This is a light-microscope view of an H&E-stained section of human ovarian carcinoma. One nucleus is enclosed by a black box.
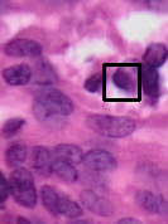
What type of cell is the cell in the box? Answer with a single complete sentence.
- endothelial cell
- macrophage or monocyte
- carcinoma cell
The classification of the cell in the box is as a carcinoma cell.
